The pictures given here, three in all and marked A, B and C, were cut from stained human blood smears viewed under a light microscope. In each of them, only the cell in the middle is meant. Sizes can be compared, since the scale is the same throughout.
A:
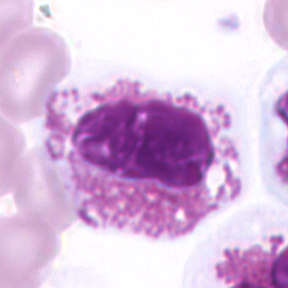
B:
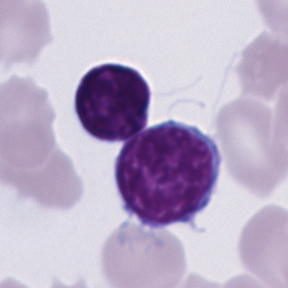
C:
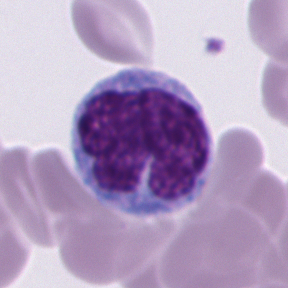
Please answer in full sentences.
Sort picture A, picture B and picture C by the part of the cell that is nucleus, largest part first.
From the most filled to the least, the order is B, C, A.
